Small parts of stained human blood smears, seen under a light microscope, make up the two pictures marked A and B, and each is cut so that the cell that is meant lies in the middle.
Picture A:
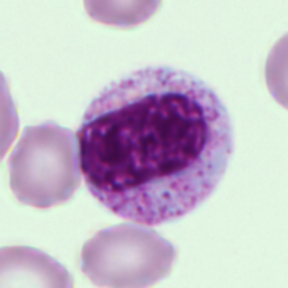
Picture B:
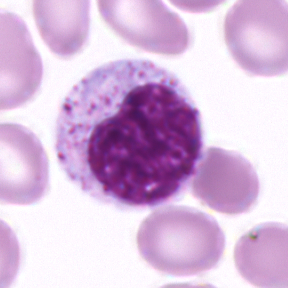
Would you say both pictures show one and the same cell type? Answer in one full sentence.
Yes, they are the same type: both are metamyelocytes.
